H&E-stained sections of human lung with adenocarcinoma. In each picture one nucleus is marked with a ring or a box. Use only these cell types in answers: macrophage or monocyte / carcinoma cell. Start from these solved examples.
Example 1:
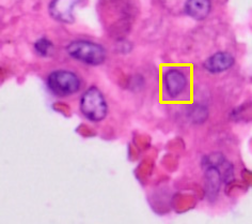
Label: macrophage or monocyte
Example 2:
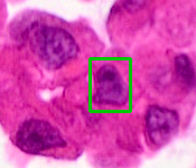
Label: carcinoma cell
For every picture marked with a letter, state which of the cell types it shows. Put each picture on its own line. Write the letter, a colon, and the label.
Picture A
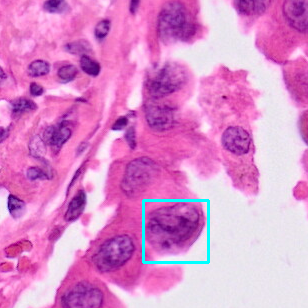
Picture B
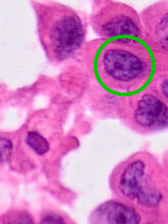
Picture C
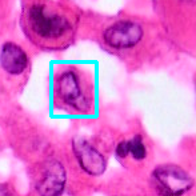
A: carcinoma cell
B: carcinoma cell
C: macrophage or monocyte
